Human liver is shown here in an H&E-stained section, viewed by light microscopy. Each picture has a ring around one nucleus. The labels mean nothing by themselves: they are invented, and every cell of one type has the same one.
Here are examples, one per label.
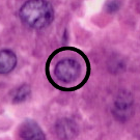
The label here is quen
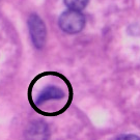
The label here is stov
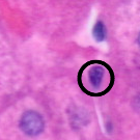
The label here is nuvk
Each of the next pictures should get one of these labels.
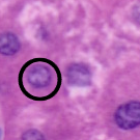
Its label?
quen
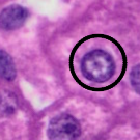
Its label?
quen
